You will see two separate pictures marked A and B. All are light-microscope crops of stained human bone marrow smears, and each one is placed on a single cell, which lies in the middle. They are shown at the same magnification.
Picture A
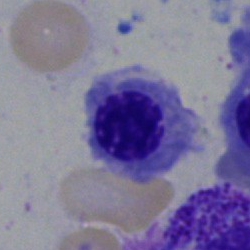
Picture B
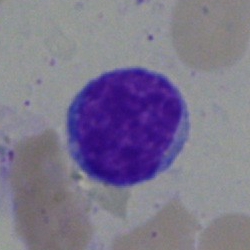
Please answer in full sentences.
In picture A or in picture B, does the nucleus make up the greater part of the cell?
The nucleus fills more of the cell in picture B than in picture A.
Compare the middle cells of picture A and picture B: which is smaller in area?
Smaller is the cell in picture A, and the other is about 1.5 times as large in area.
